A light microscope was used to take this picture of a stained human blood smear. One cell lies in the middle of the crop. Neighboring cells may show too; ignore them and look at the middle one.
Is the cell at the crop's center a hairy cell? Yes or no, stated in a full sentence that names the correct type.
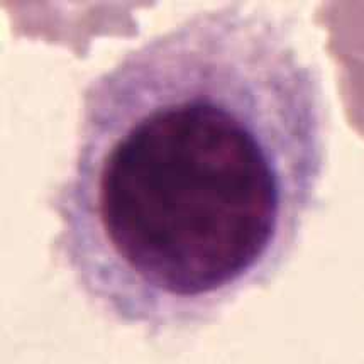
Yes, the cell that the crop is centered on is a hairy cell.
